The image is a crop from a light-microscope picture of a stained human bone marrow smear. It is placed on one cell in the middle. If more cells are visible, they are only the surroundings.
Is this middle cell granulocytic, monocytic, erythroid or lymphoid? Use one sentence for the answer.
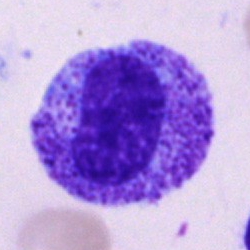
As for the cell in the middle, its lineage is granulocytic.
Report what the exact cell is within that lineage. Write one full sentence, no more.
The cell sitting right in the middle is a promyelocyte.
